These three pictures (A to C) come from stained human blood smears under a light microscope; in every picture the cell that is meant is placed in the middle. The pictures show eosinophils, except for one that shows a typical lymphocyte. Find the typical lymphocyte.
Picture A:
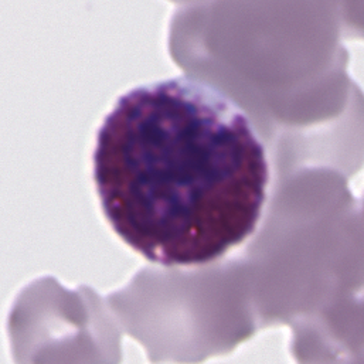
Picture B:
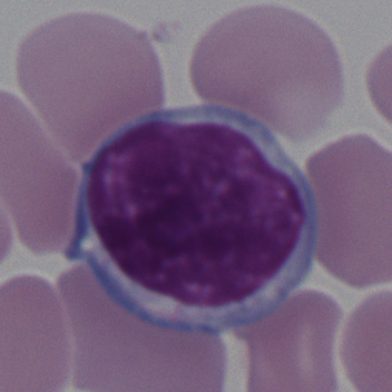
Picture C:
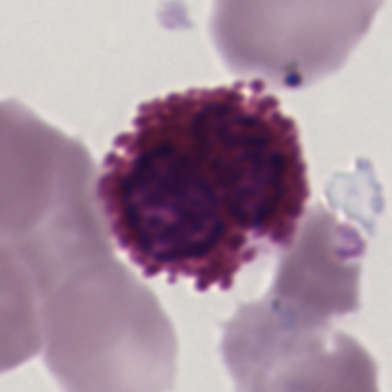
B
